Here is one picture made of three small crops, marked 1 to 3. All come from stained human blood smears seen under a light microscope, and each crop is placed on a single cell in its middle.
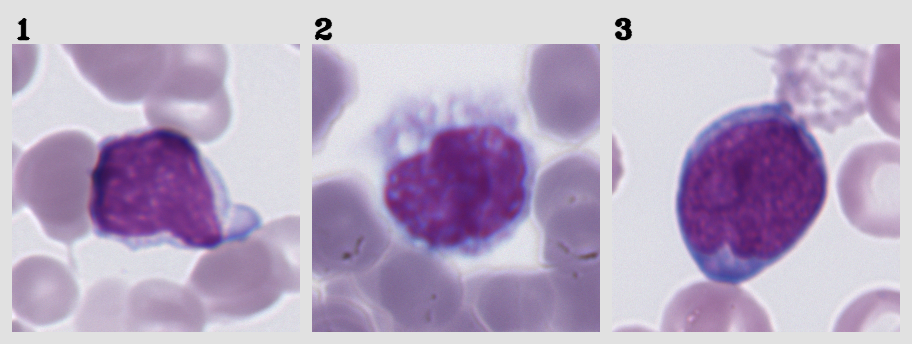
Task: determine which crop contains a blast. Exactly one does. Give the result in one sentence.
The crop carrying a blast at the center is crop 3.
